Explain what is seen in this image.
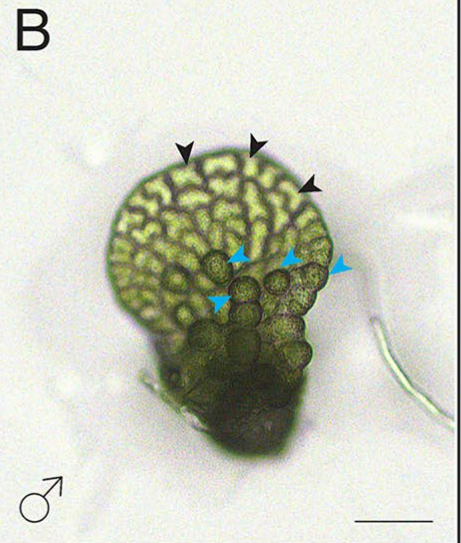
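This is a small fern gametophyte whose thallus is a rounded plate of green, chloroplast-rich cells with dark walls in a net-like pattern. The upper margin is made of ordinary flat lamina cells, with no notch in the outline. The lower half is crowded with rounded, bulging antheridia that stand out from the surface as compact spheres. Below them the body narrows to a dark, dense base, and a thin colourless rhizoid runs off to one side.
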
